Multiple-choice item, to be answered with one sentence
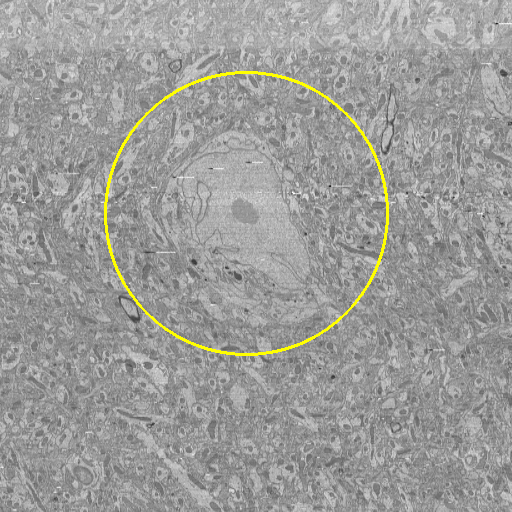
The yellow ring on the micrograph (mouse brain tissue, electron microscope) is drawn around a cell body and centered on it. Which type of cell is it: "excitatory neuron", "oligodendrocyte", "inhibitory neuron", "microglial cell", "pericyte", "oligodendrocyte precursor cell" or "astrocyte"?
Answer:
The ring is centered on an inhibitory neuron.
